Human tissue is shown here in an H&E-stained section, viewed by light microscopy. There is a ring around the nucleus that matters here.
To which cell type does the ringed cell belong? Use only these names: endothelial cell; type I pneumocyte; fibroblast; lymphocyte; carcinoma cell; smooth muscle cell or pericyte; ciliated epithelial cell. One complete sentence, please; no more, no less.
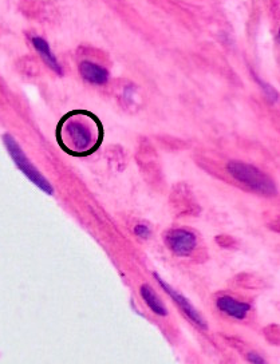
In this tissue sample, the ringed cell is a smooth muscle cell or pericyte.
